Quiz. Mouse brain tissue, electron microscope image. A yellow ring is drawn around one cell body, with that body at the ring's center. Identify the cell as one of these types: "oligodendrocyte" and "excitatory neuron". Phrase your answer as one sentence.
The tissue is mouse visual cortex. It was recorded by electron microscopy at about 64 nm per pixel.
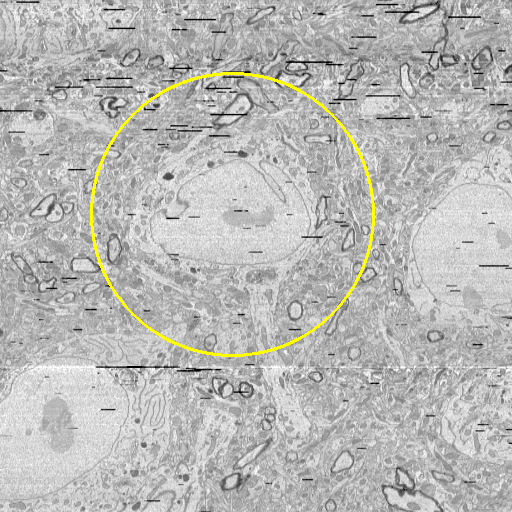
At the center of the ring sits an excitatory neuron.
